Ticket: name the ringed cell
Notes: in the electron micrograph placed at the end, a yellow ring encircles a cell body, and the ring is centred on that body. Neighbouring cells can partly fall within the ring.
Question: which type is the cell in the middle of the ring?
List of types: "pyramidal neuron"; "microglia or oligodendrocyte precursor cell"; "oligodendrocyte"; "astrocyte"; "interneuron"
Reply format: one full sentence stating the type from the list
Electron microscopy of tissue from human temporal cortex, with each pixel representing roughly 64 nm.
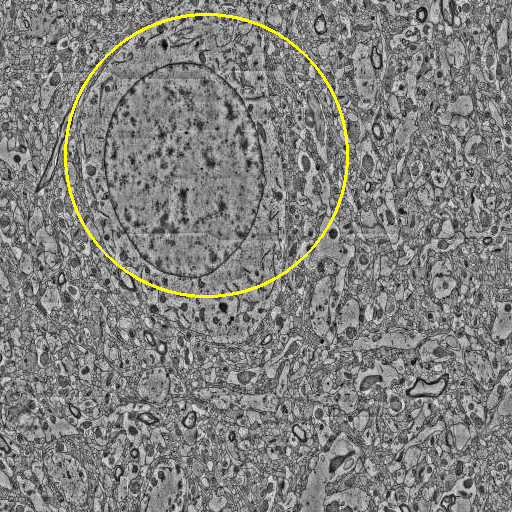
The cell sitting at the centre of the yellow ring is a pyramidal neuron.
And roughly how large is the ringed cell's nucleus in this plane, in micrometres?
The nucleus works out at approximately 14 by 10 micrometres in this plane.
